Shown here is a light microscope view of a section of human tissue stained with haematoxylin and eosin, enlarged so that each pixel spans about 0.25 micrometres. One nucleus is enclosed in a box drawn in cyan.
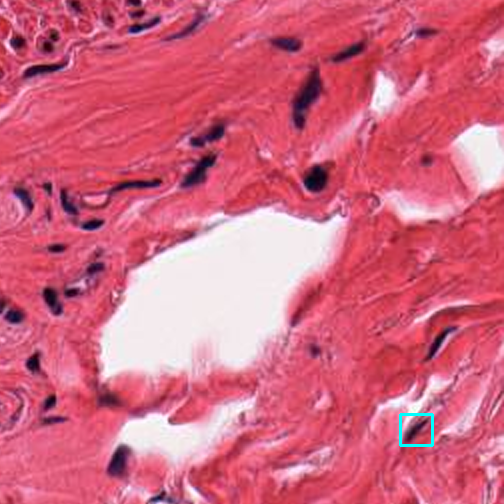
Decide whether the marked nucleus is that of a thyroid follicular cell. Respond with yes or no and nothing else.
no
